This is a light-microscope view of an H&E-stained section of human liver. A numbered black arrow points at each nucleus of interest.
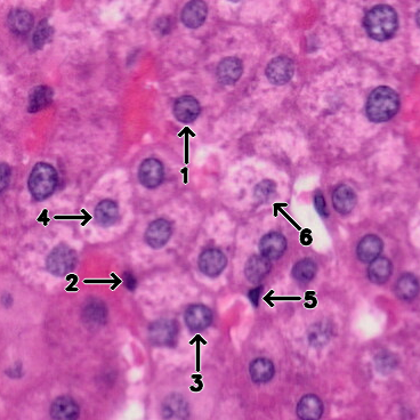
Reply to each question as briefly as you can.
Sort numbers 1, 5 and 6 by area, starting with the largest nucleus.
1, 6, 5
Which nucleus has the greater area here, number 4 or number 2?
4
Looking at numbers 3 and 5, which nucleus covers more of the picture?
3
